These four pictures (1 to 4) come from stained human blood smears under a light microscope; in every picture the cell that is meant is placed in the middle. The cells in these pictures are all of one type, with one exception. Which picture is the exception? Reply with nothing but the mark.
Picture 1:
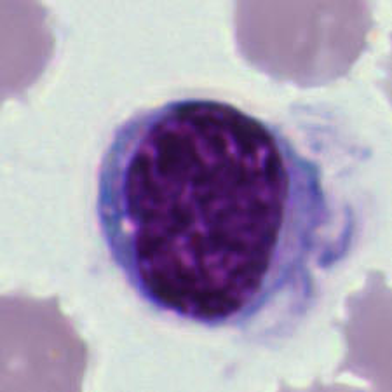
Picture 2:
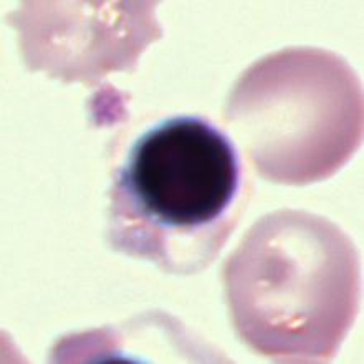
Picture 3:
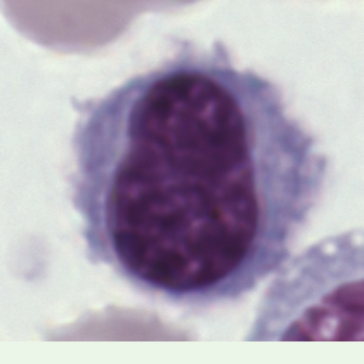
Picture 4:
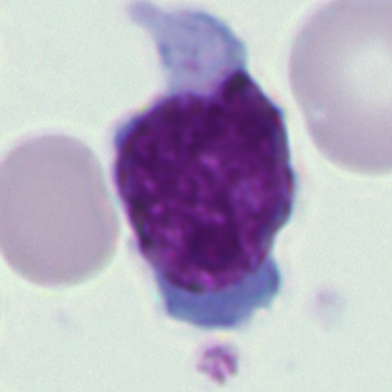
2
